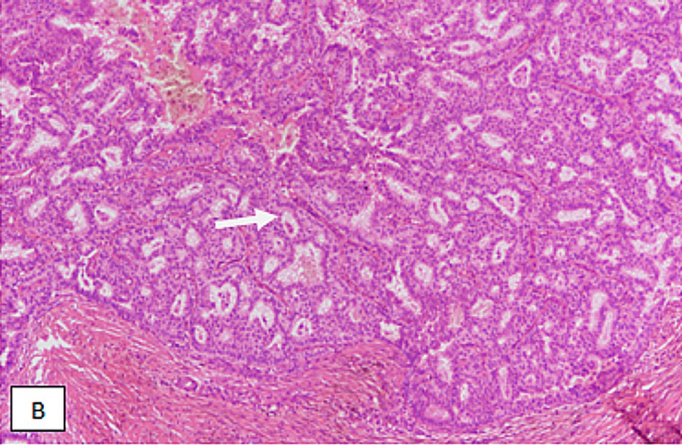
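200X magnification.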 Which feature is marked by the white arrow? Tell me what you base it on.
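Thin, faint strands run among crowded epithelial cells. The arrow points into a cellular area with small glandular spaces rather than a clear fibrovascular stalk. So: indistinct papillary cores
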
